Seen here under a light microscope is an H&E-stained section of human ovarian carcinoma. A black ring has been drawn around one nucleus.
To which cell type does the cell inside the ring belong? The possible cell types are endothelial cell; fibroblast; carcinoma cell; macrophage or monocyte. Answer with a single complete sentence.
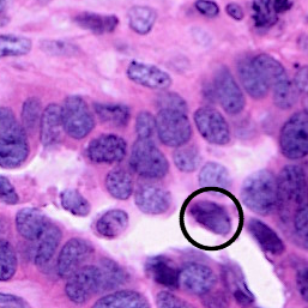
In this field of tissue, the cell inside the ring is a carcinoma cell.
